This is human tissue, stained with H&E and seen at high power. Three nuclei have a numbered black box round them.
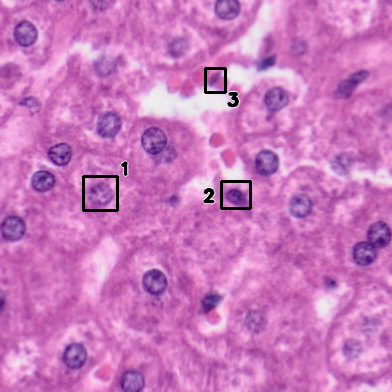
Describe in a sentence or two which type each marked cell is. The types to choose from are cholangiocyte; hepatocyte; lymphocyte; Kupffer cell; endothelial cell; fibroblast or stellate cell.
Cell 1 is a hepatocyte, cell 2 is a Kupffer cell and cell 3 is an endothelial cell.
